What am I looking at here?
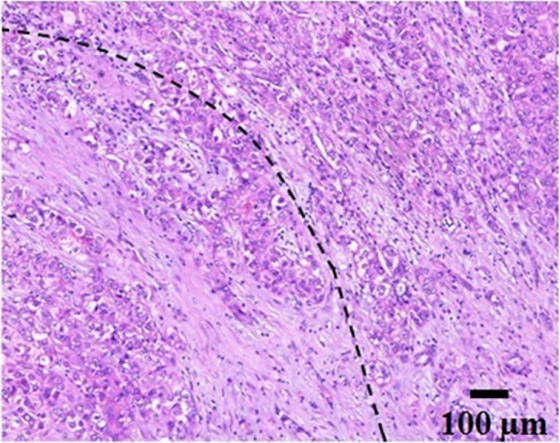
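A tumour in which two growth patterns merge: on one side of the dashed line atypical epithelial cells form gland-like nests and duct-like profiles set in bands of pink fibrous stroma, while on the other side polygonal tumour cells with pink cytoplasm and dark, enlarged nuclei are packed in solid sheets and trabeculae. The two areas abut and blend without a capsule between them.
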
